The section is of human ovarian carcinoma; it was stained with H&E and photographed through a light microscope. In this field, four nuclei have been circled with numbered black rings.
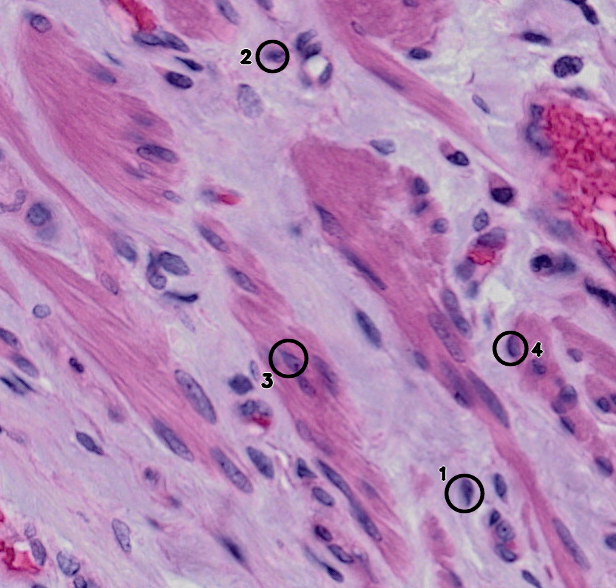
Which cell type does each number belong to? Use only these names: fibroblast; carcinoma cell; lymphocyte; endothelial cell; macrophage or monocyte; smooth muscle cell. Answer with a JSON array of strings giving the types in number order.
["fibroblast", "endothelial cell", "smooth muscle cell", "smooth muscle cell"]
